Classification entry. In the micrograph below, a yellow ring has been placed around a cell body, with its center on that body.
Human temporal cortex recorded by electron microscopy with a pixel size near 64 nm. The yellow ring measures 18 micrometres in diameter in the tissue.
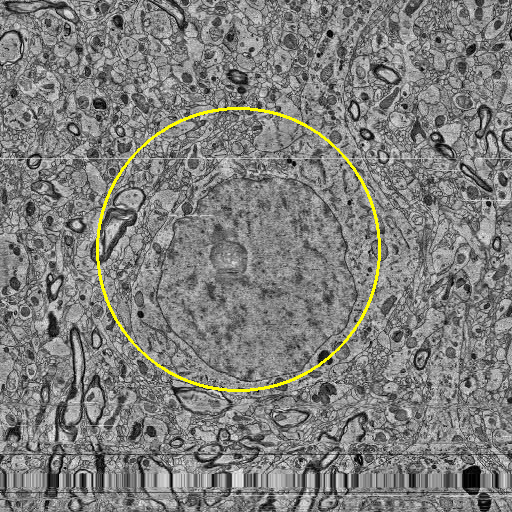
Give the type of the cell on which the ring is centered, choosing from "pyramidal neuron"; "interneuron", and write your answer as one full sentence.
The cell body at the center of the yellow ring belongs to a pyramidal neuron.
